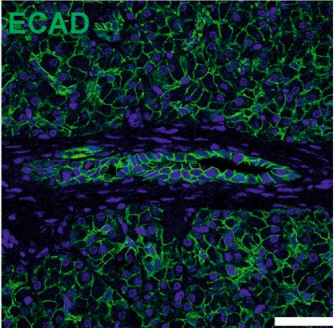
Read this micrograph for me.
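Green lines trace the borders of closely packed polygonal cells that fill most of the field, each with a blue nucleus. Across the middle runs an elongated tube lined by a single layer of columnar cells whose borders are also outlined in green, around a narrow slit-like lumen. The tube is wrapped by a band of flattened, elongated nuclei with little green outline, a sheath of connective tissue.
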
